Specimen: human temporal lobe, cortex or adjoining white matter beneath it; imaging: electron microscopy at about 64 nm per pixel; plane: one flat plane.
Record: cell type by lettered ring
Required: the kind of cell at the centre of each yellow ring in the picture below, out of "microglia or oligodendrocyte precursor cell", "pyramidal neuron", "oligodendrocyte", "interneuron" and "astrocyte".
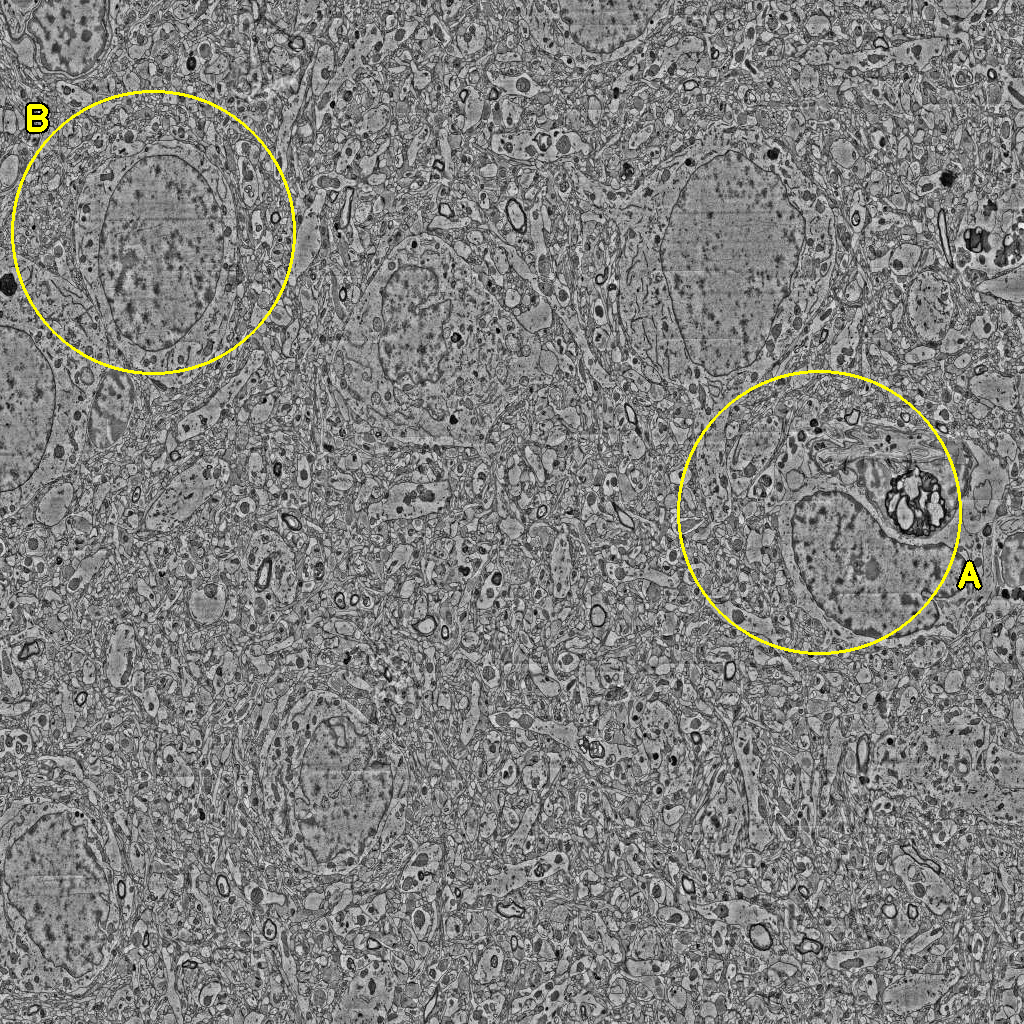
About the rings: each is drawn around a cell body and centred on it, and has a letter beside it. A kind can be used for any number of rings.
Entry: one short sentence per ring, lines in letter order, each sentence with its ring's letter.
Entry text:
At ring A we have a microglial cell or oligodendrocyte precursor cell.
At ring B we have a pyramidal neuron.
